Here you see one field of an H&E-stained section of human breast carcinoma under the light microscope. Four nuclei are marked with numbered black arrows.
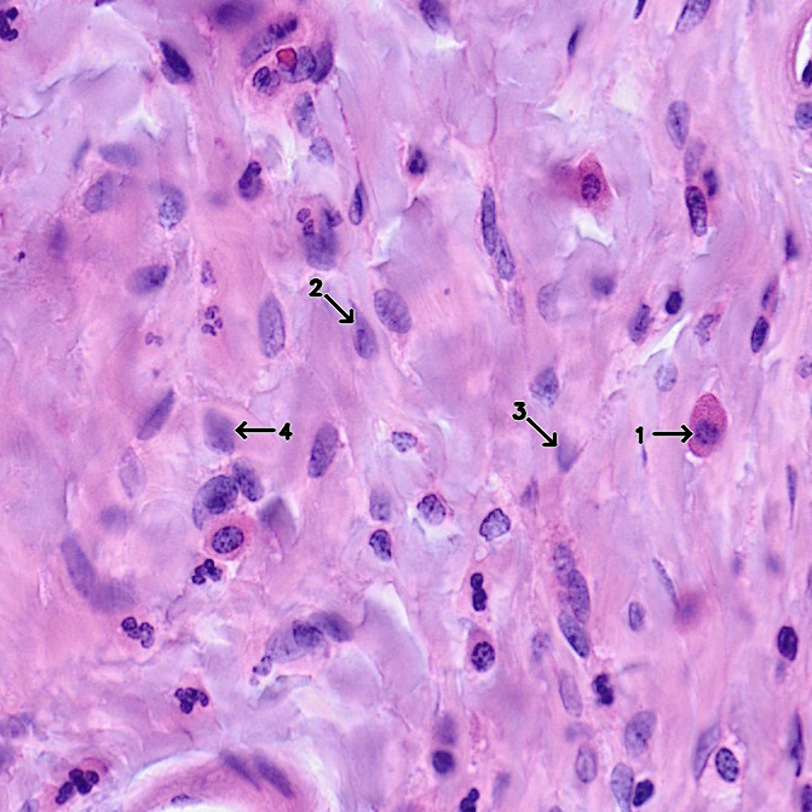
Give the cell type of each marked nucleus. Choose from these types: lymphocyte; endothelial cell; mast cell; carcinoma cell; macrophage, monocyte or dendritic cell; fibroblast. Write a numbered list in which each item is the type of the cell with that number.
1. mast cell
2. fibroblast
3. fibroblast
4. fibroblast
